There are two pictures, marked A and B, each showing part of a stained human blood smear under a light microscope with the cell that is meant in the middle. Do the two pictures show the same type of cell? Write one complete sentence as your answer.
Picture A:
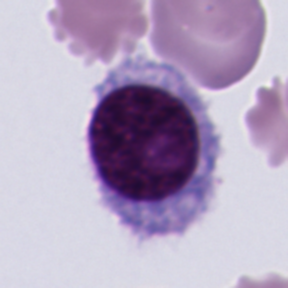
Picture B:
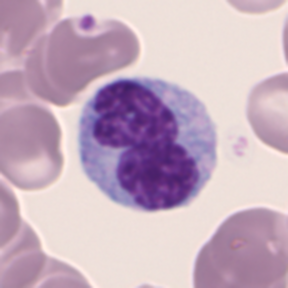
No, they differ: the cell is a hairy cell in picture A and a monocyte in picture B.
